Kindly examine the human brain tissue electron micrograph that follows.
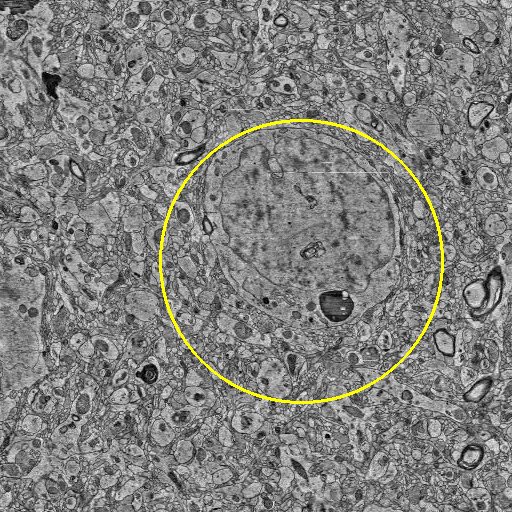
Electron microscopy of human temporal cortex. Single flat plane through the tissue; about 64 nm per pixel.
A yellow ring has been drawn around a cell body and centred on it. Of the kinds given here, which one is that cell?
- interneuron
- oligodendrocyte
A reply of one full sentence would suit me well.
The micrograph's ringed cell, the one at the ring's centre, is an interneuron.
